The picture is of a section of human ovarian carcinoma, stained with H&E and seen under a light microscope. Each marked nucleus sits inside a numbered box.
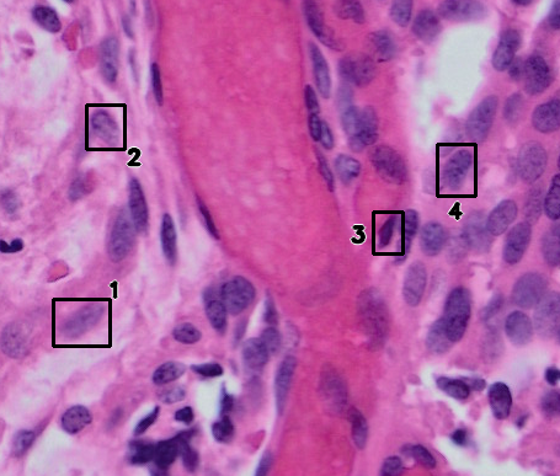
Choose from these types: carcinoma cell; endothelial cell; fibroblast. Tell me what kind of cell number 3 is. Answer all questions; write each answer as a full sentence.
The cell given label 3 is an endothelial cell.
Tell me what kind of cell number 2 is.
Denoted by the label 2 in the section is a fibroblast.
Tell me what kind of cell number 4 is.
The cell marked with number 4 is a carcinoma cell.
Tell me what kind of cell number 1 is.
The correct answer for cell 1 is a fibroblast.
